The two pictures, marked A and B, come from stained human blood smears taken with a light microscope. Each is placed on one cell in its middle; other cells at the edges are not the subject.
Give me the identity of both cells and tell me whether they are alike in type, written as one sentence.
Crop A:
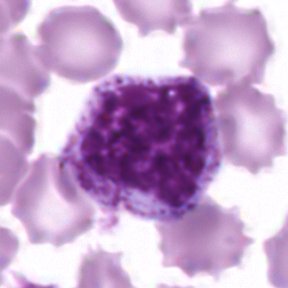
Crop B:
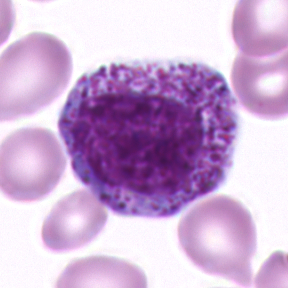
No, a myelocyte lies at the centre of crop A, and a promyelocyte lies at the centre of crop B.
